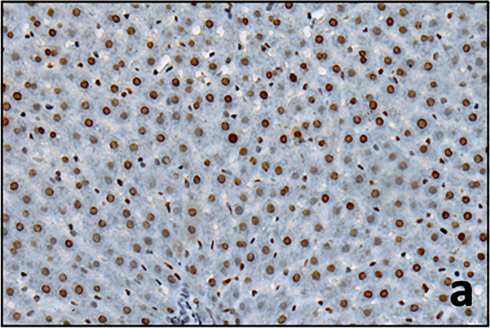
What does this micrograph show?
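This is liver parenchyma, with hepatocytes laid out in plates that run between narrow sinusoids. Each hepatocyte has pale cytoplasm and a single round central nucleus, and many of these nuclei are stained brown while others are blue. Between the plates lie smaller, elongated nuclei of the cells lining the sinusoids. The arrangement is regular and even across the whole field.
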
